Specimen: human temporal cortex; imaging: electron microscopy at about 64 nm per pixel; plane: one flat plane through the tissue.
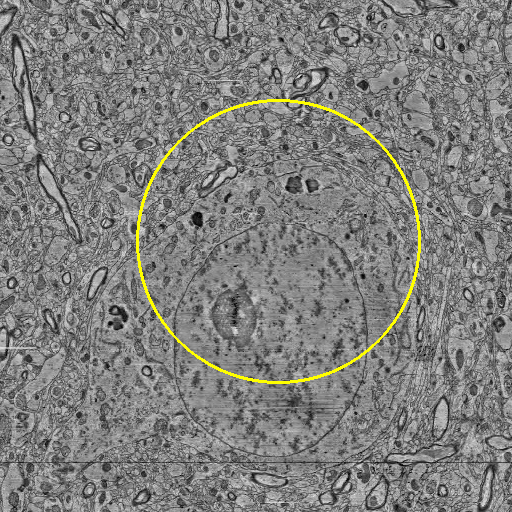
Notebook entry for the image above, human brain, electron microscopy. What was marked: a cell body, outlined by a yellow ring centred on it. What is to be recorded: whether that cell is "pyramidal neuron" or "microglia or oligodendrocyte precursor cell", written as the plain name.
pyramidal neuron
